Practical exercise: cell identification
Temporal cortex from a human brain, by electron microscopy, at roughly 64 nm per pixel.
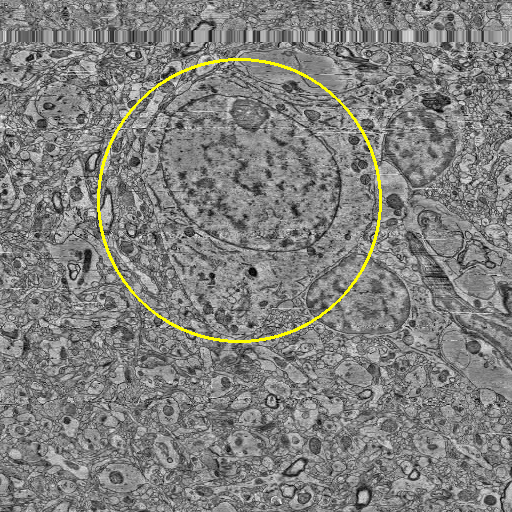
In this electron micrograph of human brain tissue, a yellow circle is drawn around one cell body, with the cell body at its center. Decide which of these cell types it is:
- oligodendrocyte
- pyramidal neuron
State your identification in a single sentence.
The ringed cell is a pyramidal neuron.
